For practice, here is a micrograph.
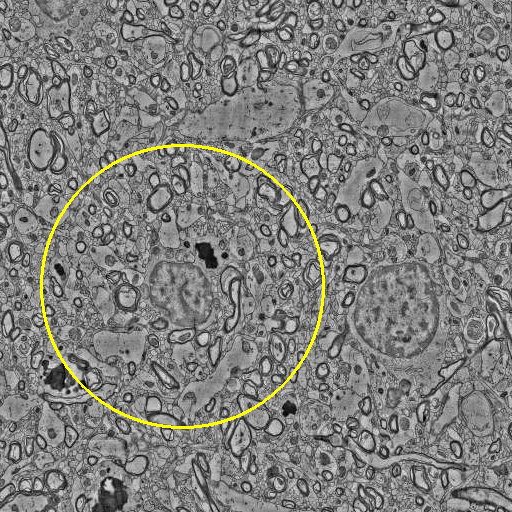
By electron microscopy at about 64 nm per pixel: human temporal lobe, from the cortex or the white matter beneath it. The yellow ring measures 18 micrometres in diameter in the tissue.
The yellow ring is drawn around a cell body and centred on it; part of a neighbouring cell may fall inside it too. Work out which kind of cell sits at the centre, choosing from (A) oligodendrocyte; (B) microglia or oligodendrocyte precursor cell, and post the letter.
A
